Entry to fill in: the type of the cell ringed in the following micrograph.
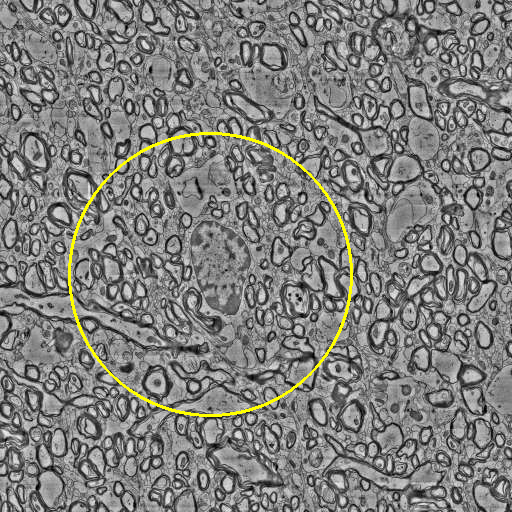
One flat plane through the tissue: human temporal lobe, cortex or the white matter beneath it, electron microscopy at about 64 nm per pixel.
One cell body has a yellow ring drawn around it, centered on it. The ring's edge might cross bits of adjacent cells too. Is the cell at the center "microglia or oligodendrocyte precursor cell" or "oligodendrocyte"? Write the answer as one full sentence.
This entry names a microglial cell or oligodendrocyte precursor cell as the cell whose body lies at the ring's center.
